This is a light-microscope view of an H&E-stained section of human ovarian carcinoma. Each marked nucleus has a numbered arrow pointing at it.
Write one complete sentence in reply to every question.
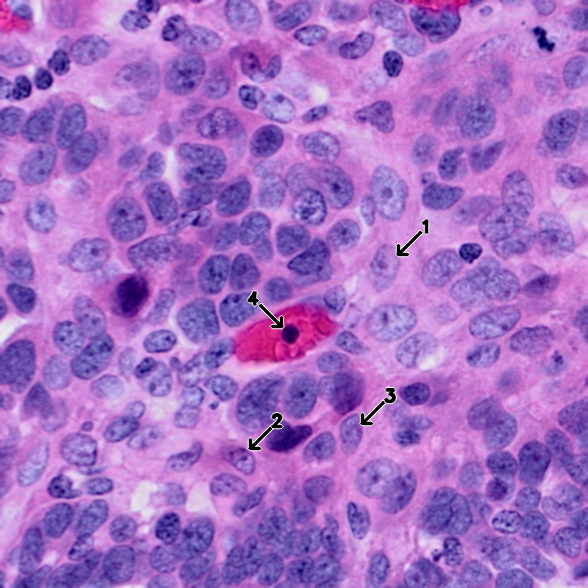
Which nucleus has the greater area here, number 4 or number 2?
Number 2 is larger; its area is about 2 times that of number 4.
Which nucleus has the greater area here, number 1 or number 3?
It is nucleus 1, which covers about 1.5 times the area of nucleus 3.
